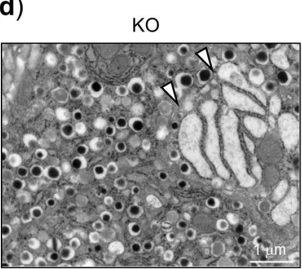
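This is a transmission electron micrograph of a pancreatic β-cell, with cytoplasm crowded by round secretory granules. Many granules hold a dark, dense core set within a pale halo and an enclosing membrane; others look paler or grey. At the right a stack of markedly widened, pale cisternae with dark bounding membranes stands out: this is rough endoplasmic reticulum whose lumen has become dilated. Elsewhere the cytoplasm shows a fine grey background with smaller membrane profiles.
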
